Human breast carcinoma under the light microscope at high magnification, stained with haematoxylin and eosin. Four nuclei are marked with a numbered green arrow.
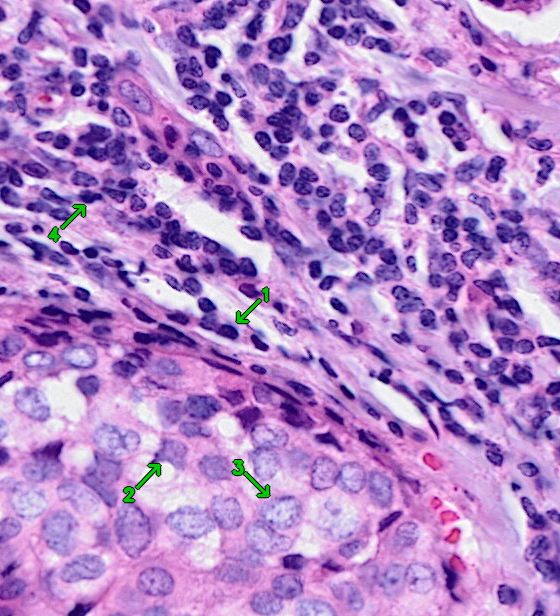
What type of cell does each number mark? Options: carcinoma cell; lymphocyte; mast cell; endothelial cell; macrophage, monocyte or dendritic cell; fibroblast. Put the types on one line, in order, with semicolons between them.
lymphocyte; carcinoma cell; carcinoma cell; lymphocyte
